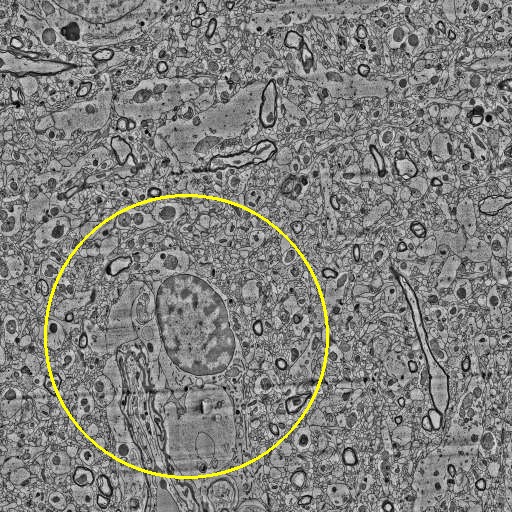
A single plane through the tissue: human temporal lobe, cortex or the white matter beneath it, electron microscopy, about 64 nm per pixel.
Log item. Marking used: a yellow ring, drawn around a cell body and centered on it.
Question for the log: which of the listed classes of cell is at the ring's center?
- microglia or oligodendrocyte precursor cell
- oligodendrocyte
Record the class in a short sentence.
At the center of the ring lies a microglial cell or oligodendrocyte precursor cell.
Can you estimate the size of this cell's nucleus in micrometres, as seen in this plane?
Roughly 7 by 5 micrometres is the size of the nucleus in this plane.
